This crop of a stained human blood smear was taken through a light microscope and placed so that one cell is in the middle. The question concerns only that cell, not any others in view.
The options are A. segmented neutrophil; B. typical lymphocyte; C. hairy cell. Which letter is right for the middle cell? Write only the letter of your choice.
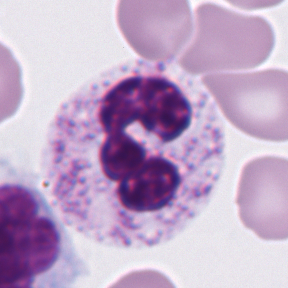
A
